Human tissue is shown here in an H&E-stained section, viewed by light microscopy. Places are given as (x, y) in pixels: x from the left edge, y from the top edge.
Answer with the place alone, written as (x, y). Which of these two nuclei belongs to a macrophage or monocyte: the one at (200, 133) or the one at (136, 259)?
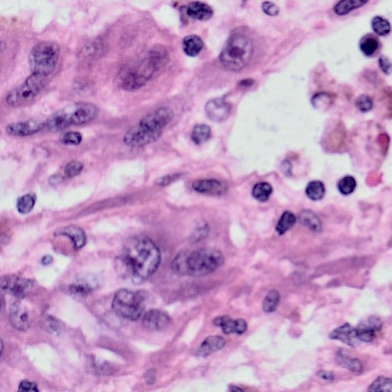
(200, 133)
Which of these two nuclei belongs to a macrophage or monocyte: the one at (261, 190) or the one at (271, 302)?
(271, 302)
